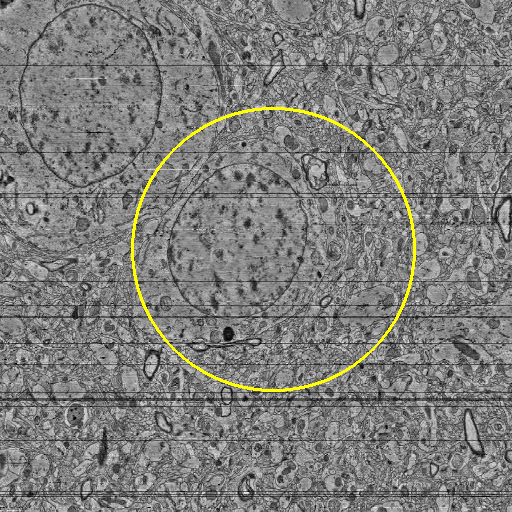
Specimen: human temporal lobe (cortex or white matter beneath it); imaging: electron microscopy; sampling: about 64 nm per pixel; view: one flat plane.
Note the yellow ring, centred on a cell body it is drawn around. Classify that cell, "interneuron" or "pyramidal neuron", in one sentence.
The cell the ring is centred on is a pyramidal neuron.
